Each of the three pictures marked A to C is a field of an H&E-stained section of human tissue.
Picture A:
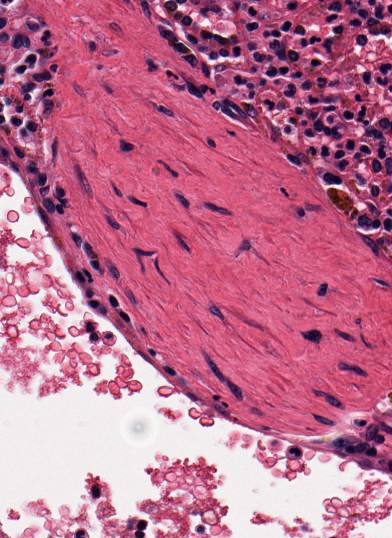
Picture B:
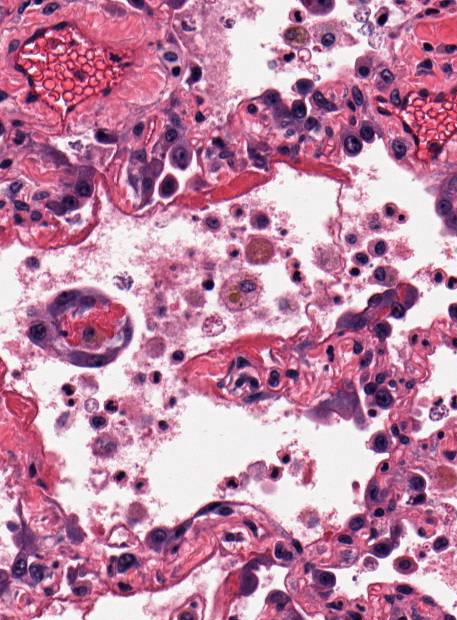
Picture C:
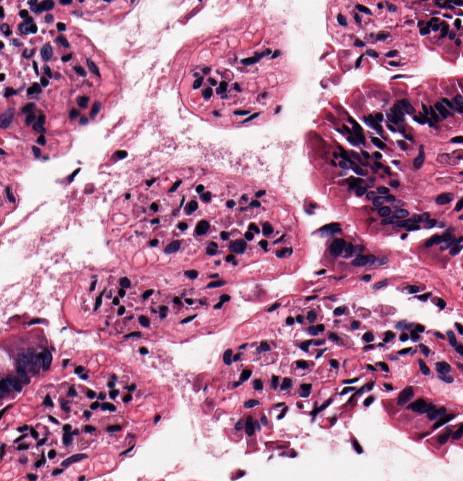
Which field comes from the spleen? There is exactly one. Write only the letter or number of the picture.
A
